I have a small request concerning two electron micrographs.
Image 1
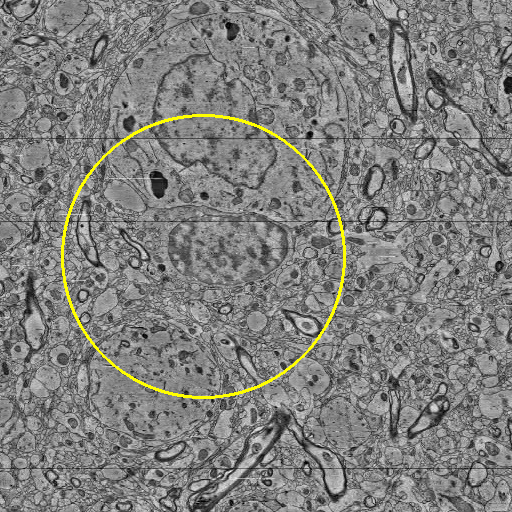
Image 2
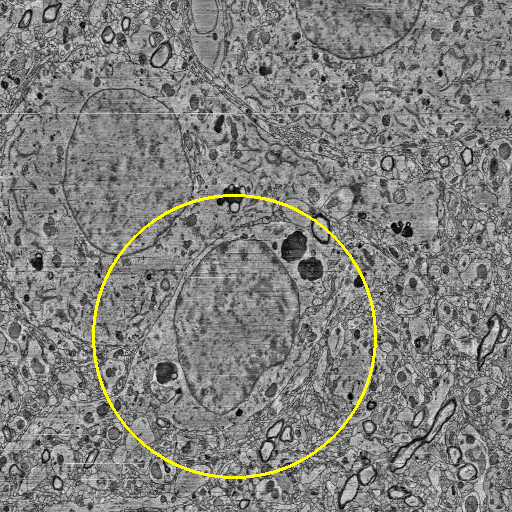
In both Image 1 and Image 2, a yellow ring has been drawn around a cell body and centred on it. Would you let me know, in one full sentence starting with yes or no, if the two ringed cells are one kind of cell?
No, the cells ringed in Image 1 and Image 2 are two kinds of cell.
